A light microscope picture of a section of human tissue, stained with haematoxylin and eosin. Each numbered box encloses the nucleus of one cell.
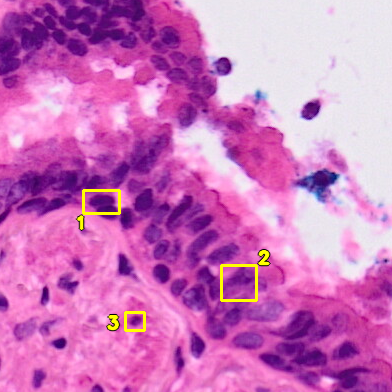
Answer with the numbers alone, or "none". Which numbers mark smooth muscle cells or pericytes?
3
